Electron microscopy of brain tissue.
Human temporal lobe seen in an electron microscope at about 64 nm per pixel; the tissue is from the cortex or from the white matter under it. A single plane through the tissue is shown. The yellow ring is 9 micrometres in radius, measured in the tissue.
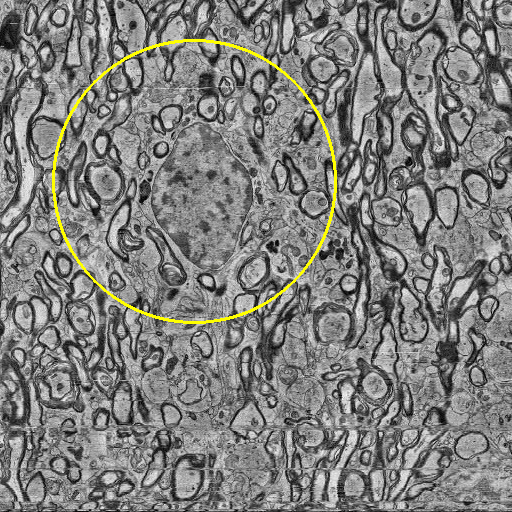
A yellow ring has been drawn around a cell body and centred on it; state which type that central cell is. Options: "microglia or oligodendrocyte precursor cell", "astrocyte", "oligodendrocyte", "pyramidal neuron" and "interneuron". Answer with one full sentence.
The cell at the middle of the yellow ring is a microglial cell or oligodendrocyte precursor cell in this picture.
